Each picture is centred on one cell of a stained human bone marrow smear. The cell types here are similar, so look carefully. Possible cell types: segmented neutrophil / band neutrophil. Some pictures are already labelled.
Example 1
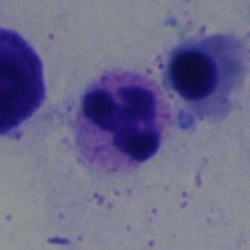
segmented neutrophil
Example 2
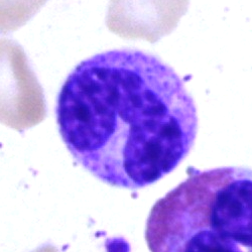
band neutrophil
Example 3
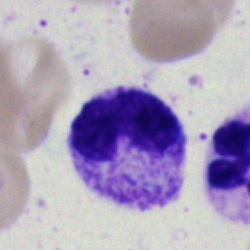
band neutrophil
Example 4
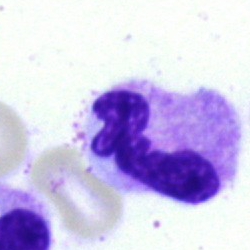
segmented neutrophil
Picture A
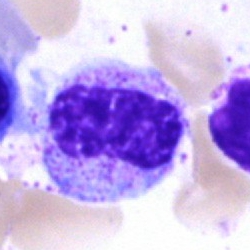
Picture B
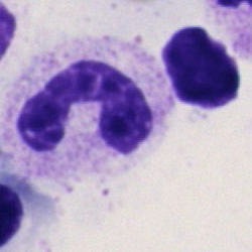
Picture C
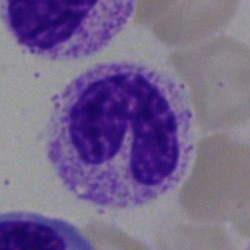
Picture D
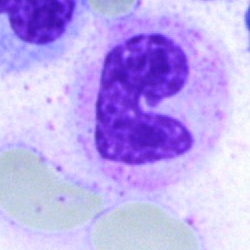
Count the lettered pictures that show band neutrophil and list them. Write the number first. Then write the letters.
4: A, B, C, D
